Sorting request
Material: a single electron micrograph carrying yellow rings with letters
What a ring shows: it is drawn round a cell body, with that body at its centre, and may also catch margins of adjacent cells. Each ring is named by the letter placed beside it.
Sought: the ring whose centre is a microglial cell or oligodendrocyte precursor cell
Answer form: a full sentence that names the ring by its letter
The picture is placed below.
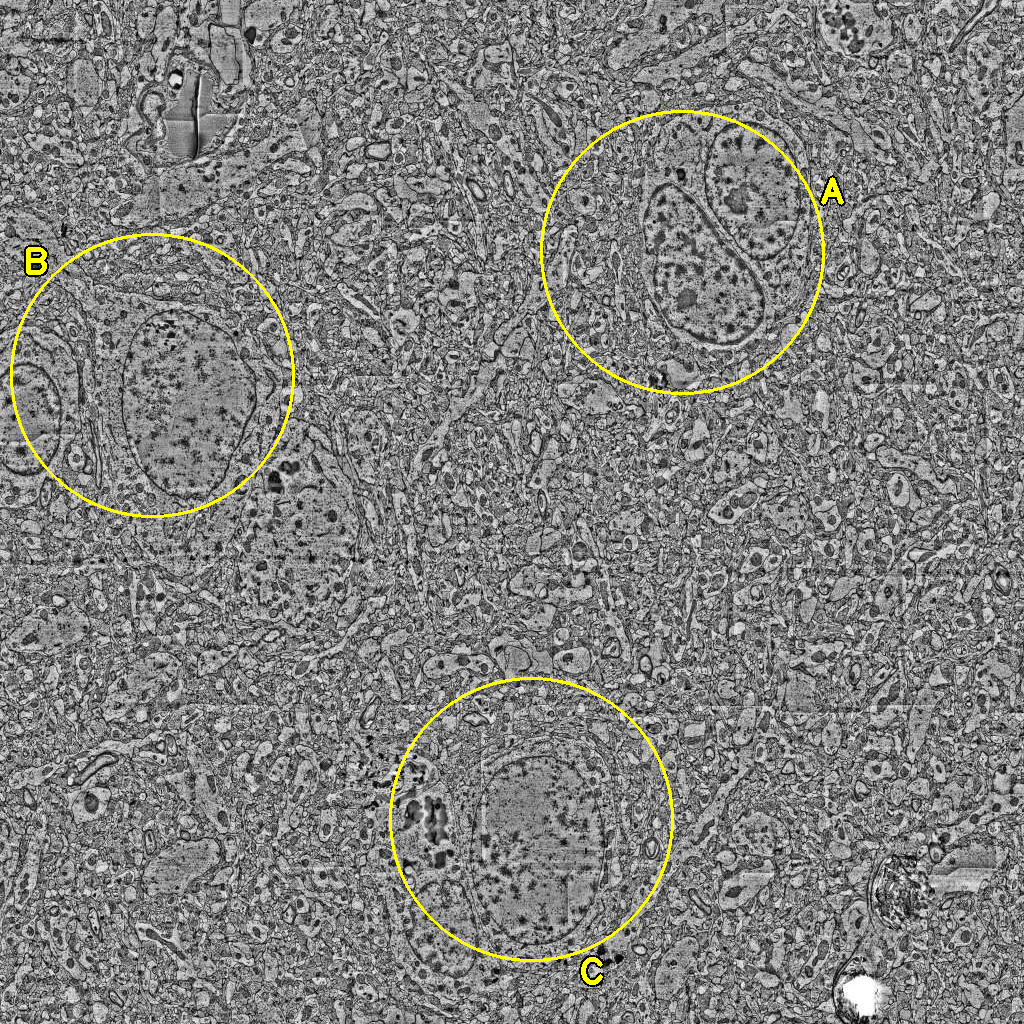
The ring centred on the cell asked for carries the letter A.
